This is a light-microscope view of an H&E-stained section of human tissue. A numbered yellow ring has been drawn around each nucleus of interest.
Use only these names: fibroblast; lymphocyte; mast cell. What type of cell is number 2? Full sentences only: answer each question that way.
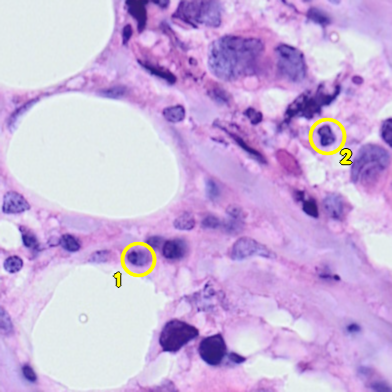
The label 2 in this section denotes a lymphocyte.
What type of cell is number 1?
The cell carrying label 1 is identified as a mast cell.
